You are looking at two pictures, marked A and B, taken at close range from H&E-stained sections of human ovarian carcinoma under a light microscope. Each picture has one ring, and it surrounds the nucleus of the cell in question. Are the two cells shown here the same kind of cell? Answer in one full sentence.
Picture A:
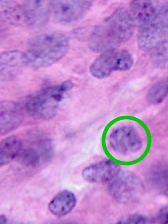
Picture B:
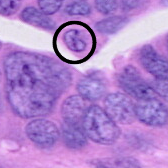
Yes, the two pictures both show “macrophages or monocytes”.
